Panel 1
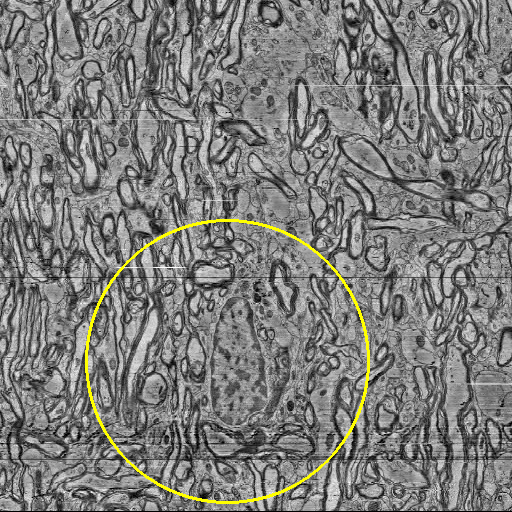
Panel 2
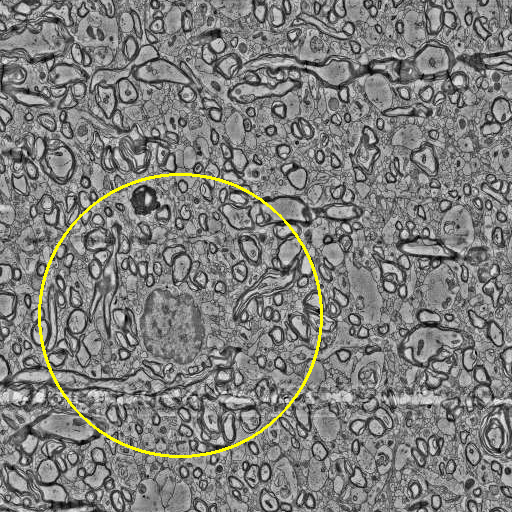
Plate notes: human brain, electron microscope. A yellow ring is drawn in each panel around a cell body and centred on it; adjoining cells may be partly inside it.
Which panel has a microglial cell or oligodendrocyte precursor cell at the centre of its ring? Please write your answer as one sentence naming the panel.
The ring in Panel 1 is centred on such a cell.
